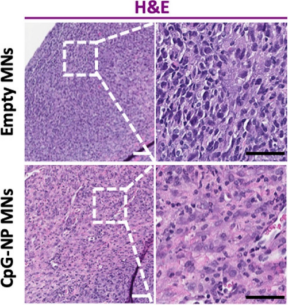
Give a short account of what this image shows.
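Tumor cells grow in solid, sheet-like masses without glands or layers. Nuclei are large, ovoid to elongated and dark purple, some with coarse chromatin; cytoplasm is pink and moderately abundant, cell borders indistinct. In the upper pair cells are tightly crowded, many spindle-shaped and streaming in fascicles. In the lower pair the cells appear less crowded, more rounded, with paler pink cytoplasm and more space between nuclei.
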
